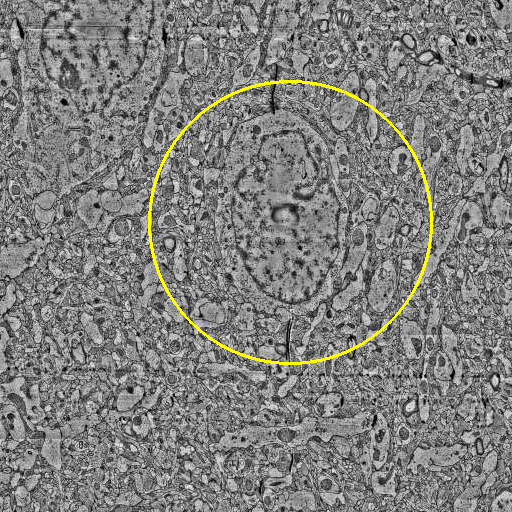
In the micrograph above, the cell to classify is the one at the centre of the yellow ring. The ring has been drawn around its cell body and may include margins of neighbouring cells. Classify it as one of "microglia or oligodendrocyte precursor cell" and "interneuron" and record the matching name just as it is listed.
interneuron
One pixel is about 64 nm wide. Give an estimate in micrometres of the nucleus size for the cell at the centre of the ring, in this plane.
The nucleus of the ringed cell is clearly longer than it is wide in this plane, about 11 by 7 micrometres.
